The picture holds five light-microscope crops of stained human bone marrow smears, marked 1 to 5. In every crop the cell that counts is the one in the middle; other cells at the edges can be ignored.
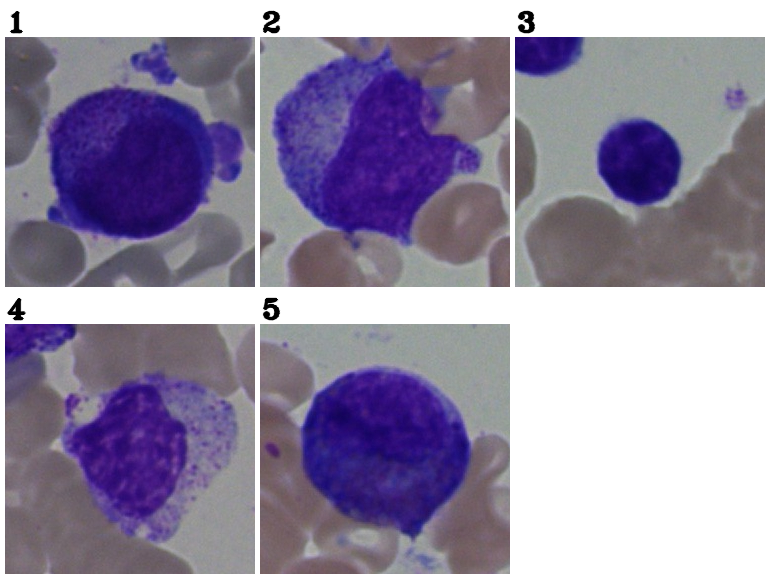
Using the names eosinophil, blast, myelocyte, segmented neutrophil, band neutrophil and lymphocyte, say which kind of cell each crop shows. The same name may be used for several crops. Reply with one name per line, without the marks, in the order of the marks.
blast
myelocyte
lymphocyte
myelocyte
eosinophil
